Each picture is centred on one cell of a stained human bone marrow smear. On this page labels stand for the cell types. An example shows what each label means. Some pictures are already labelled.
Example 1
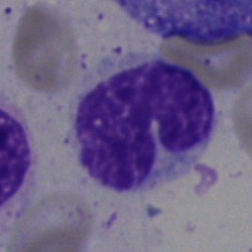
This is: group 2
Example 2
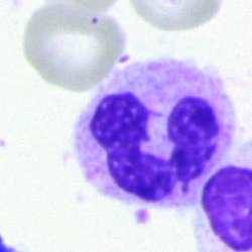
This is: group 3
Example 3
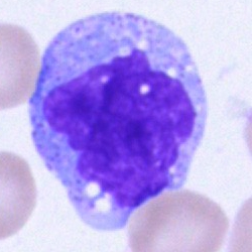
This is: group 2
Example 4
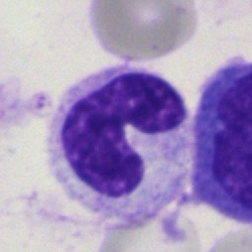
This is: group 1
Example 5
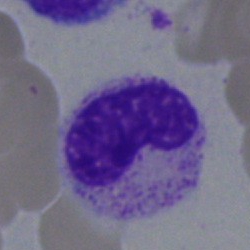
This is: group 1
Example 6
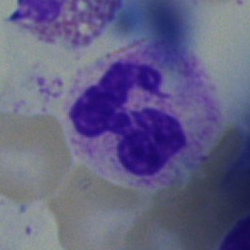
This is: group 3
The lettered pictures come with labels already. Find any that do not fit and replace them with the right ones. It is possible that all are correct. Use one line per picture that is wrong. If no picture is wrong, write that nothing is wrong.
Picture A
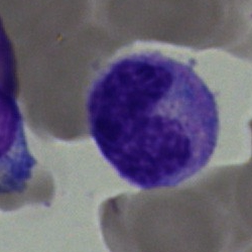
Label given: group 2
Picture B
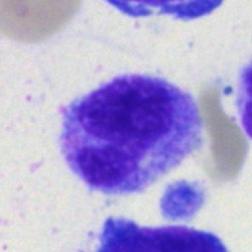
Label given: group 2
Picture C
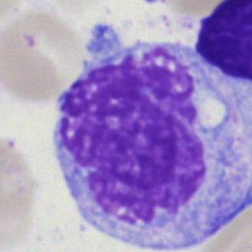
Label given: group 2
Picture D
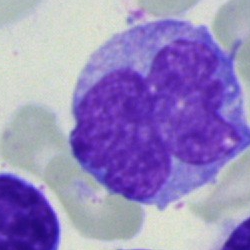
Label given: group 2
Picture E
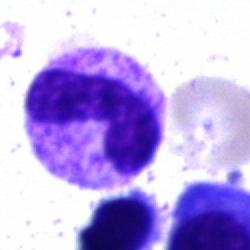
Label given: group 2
E: group 1, not group 2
